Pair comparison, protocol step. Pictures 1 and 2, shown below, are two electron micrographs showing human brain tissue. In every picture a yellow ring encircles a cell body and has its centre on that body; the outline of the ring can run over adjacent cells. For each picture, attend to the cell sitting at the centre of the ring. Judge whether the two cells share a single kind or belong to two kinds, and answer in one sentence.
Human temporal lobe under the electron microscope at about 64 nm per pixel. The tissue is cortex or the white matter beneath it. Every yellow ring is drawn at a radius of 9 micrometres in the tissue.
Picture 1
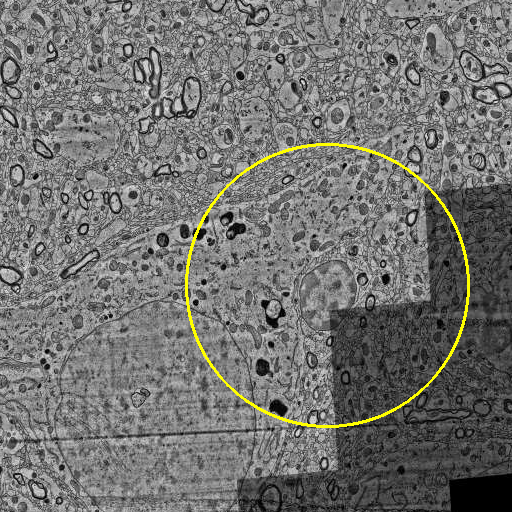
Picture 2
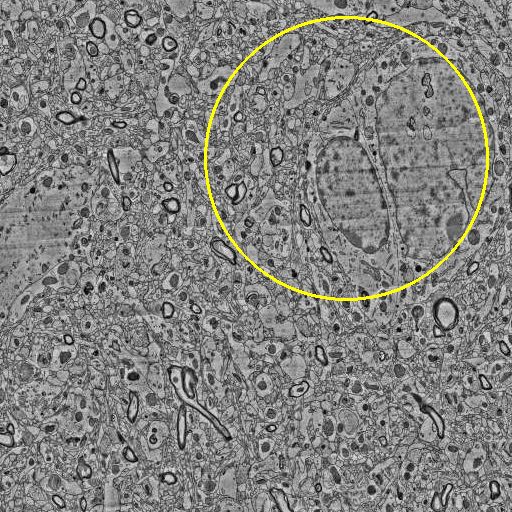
The two cells at the ring centres in Picture 1 and Picture 2 share a single kind.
